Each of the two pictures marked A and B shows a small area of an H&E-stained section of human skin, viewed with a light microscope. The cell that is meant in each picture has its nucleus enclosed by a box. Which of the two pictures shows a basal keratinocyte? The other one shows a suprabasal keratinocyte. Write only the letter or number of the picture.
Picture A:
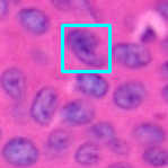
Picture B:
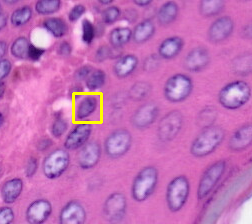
B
